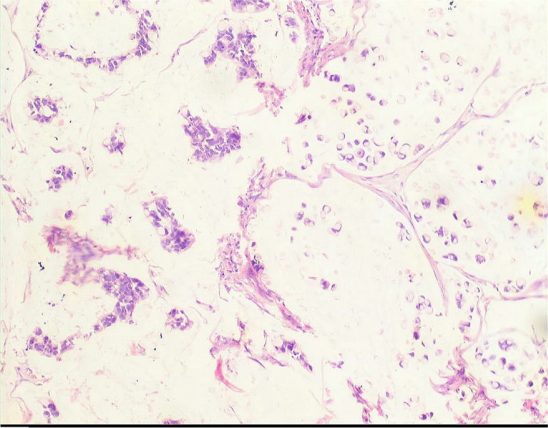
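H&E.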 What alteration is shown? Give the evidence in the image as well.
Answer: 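Large areas of mucinous tissues. Broad pale, nearly empty lakes fill most of the field. Thin pink fibrous septa divide the pale lakes. Small clusters and single tumour cells float within the pale material.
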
